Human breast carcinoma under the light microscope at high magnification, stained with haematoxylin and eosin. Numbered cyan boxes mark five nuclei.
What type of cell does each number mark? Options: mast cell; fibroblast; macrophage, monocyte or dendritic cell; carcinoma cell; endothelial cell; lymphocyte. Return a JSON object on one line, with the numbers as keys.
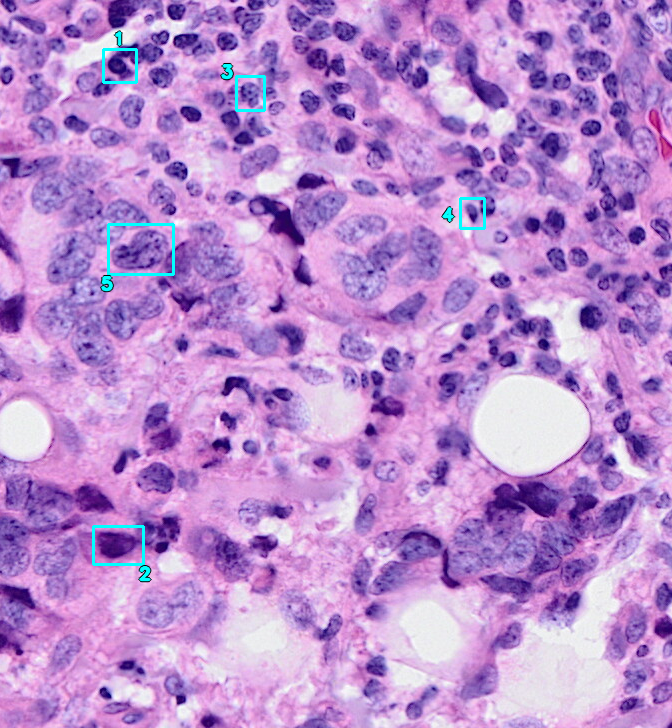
{"1": "lymphocyte", "2": "carcinoma cell", "3": "lymphocyte", "4": "lymphocyte", "5": "carcinoma cell"}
